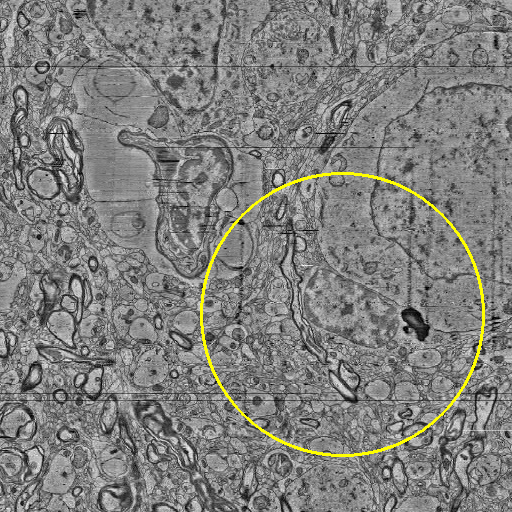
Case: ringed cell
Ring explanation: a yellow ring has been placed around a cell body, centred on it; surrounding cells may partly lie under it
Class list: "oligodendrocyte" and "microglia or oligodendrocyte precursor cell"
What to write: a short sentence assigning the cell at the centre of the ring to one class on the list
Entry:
The cell at the ring's centre is an oligodendrocyte.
